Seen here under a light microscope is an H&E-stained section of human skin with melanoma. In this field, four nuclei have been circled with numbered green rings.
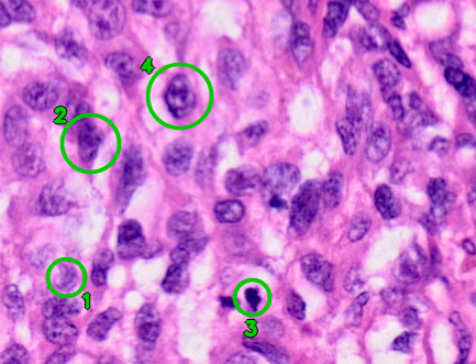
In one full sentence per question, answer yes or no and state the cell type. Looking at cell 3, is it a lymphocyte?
Yes, in this section the cell numbered 3 is a lymphocyte.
